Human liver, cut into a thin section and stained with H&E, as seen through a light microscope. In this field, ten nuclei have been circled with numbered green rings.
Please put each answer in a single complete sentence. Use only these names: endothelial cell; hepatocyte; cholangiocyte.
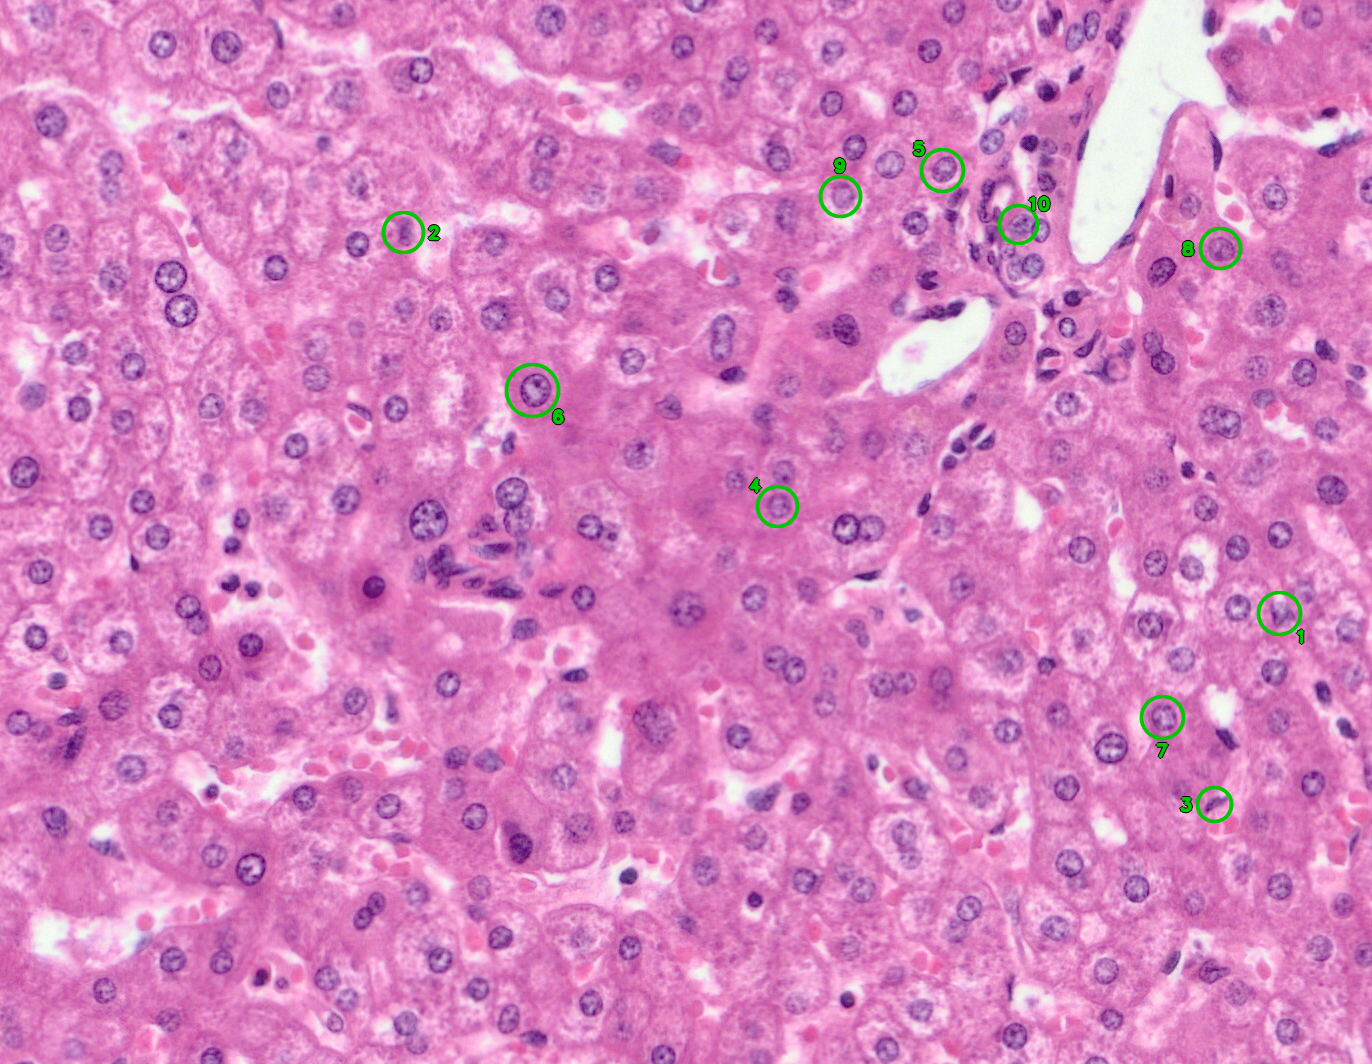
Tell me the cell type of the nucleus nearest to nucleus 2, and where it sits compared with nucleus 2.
It is a hepatocyte, whose nucleus lies to the left of nucleus 2.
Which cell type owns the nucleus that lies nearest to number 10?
Closest to number 10 lies the nucleus of a cholangiocyte.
